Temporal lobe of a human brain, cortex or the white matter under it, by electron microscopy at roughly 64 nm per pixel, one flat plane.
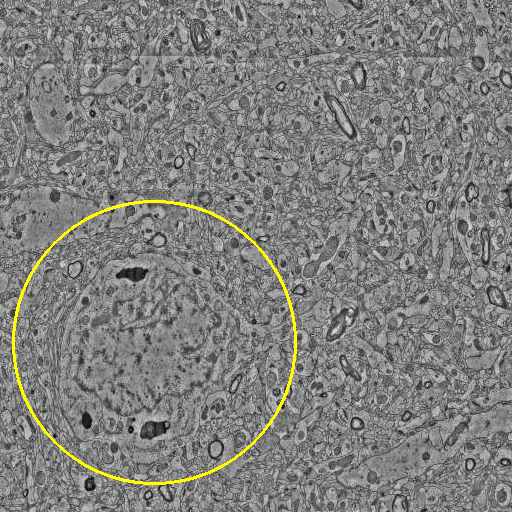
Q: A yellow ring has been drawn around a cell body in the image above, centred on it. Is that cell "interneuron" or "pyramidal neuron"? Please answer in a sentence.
The ring surrounds the cell body of an interneuron.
